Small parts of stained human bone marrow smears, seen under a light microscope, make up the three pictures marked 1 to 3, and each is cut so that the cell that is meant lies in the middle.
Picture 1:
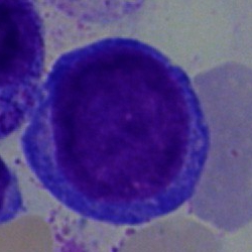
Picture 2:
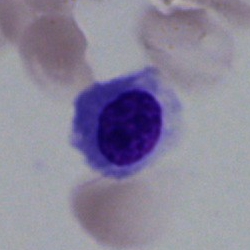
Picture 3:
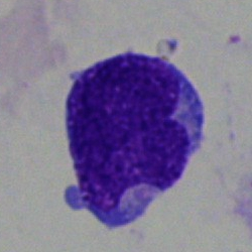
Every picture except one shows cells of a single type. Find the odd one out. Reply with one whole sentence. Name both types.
Picture 2 is the odd one out: it shows an erythroblast, while the others show blasts.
